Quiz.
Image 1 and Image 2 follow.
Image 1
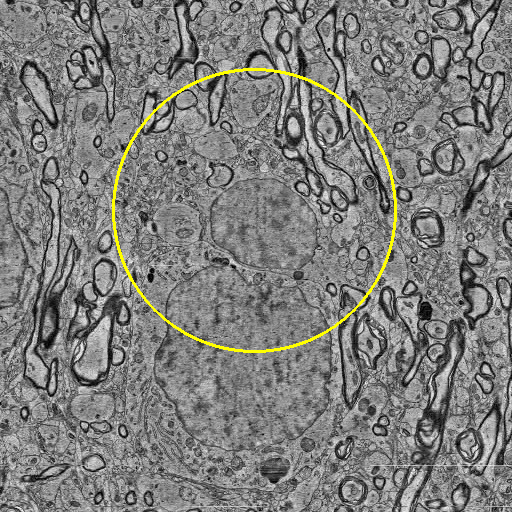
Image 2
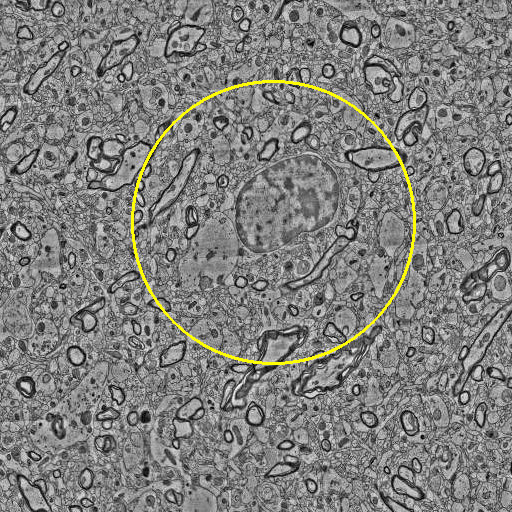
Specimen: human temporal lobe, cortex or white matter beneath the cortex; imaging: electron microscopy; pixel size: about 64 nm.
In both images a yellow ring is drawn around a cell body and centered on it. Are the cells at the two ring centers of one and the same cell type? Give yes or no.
no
